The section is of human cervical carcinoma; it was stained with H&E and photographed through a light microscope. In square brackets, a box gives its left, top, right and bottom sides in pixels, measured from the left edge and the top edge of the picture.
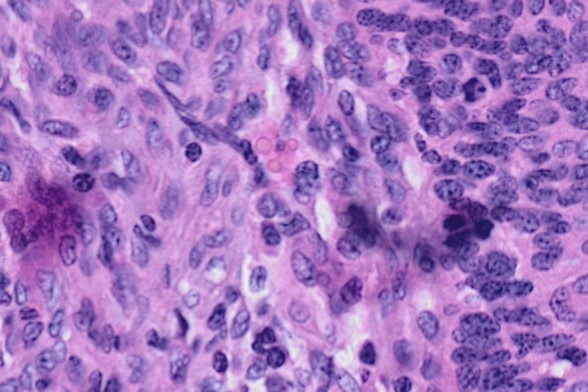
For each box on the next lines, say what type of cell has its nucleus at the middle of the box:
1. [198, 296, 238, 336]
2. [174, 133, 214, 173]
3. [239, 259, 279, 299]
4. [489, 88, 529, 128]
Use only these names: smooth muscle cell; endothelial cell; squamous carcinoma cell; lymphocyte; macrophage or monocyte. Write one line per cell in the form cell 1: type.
cell 1: lymphocyte
cell 2: lymphocyte
cell 3: lymphocyte
cell 4: squamous carcinoma cell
